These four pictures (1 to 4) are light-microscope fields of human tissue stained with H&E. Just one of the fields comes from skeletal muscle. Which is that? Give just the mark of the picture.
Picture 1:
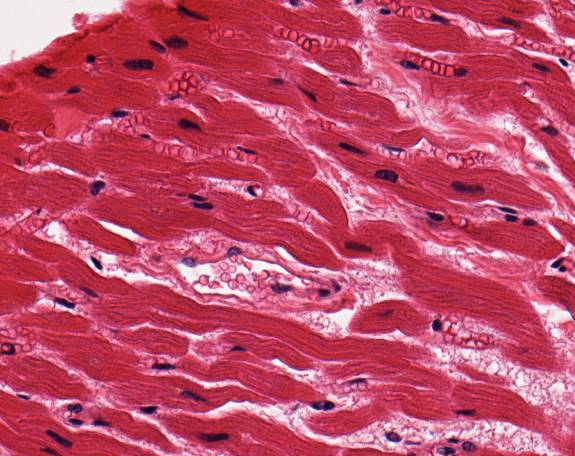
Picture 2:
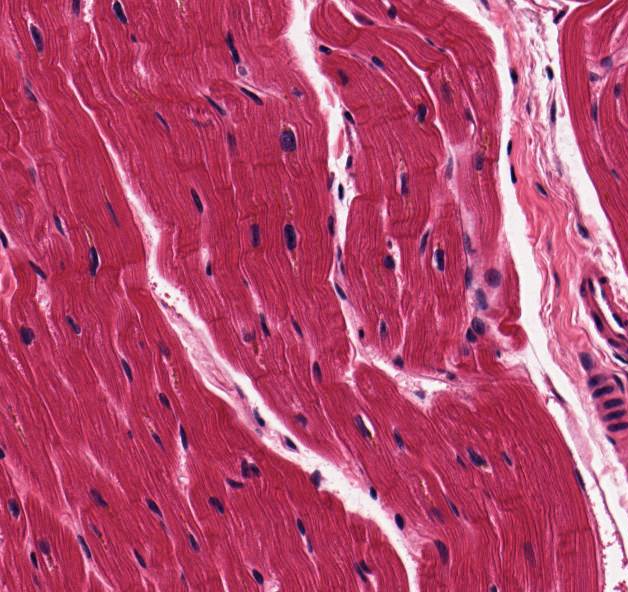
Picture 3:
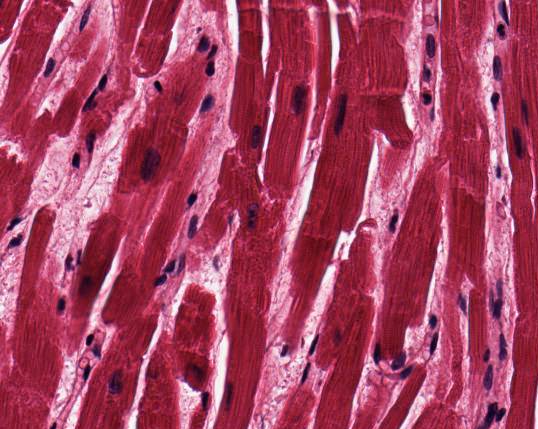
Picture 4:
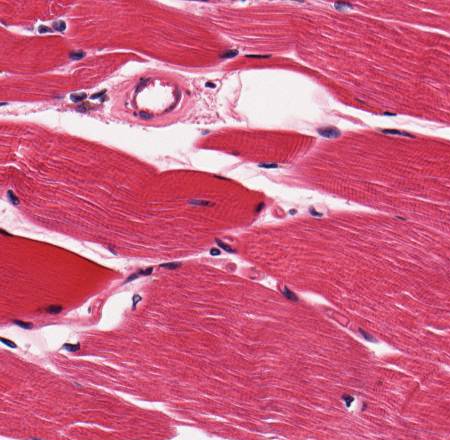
4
